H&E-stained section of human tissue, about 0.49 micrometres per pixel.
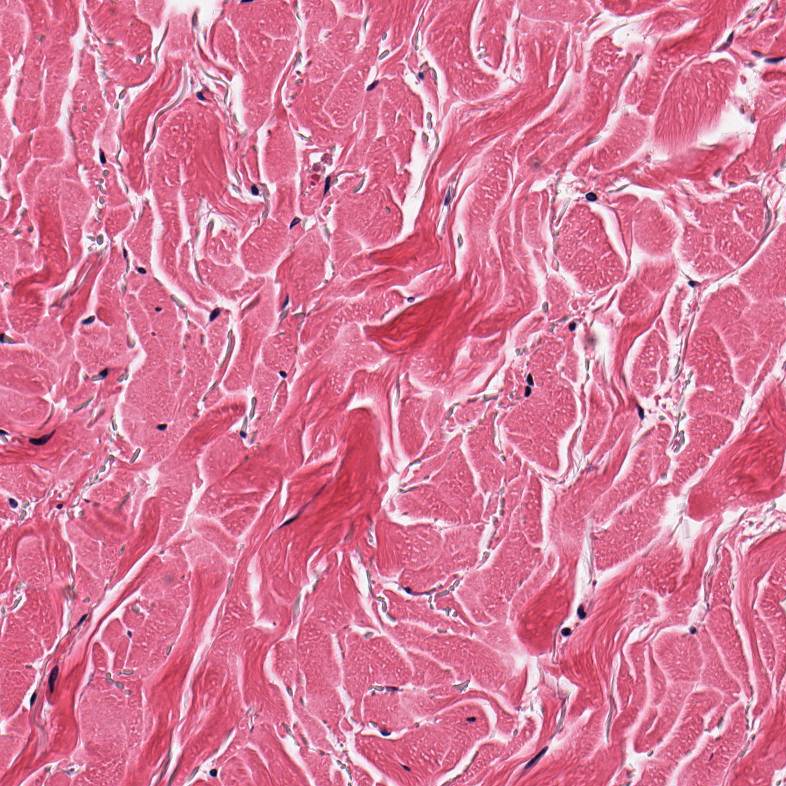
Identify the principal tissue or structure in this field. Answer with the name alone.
dermis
